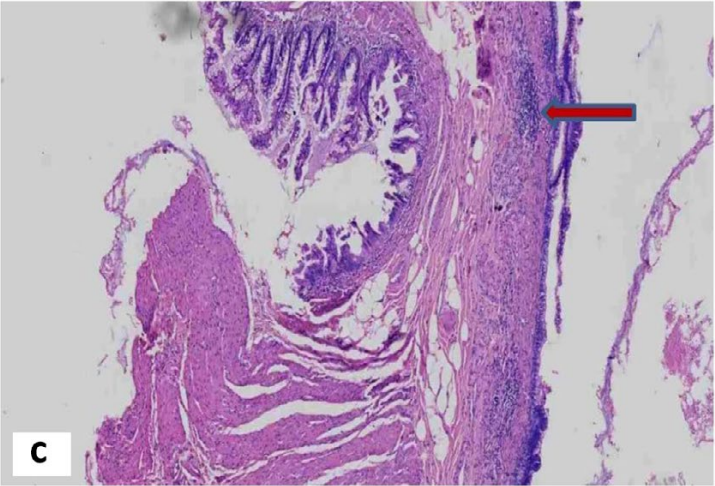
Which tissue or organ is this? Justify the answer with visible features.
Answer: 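Mucosa with crypt-like glands lined by columnar epithelium at the top. Bundles of pink smooth muscle lie below.
Answer: Intestinal tissue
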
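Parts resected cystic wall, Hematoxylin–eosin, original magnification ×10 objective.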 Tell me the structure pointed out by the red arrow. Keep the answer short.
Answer: lymphoid nodules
